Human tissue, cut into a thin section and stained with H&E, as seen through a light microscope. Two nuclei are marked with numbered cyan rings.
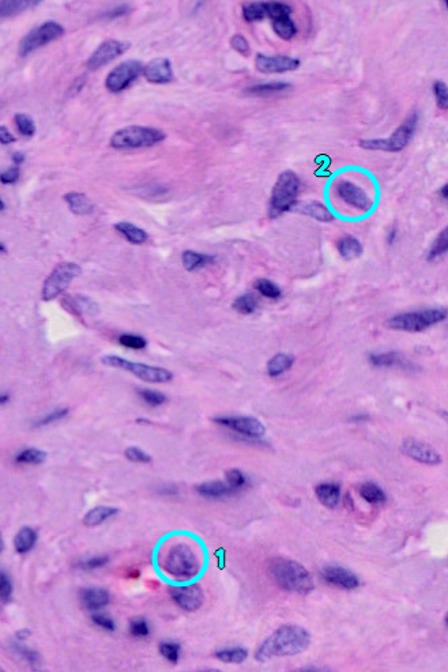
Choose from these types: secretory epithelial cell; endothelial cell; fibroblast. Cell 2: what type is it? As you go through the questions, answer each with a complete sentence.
The numbered cell 2 in this field is a fibroblast.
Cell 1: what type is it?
What the number 1 marks in this field is an endothelial cell.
